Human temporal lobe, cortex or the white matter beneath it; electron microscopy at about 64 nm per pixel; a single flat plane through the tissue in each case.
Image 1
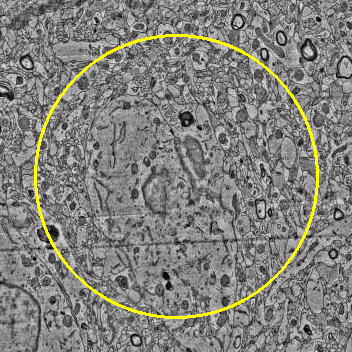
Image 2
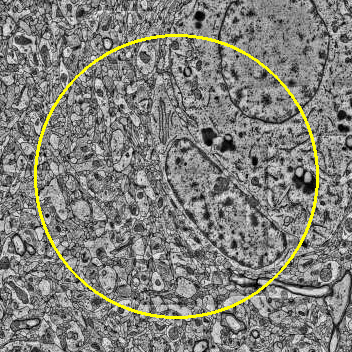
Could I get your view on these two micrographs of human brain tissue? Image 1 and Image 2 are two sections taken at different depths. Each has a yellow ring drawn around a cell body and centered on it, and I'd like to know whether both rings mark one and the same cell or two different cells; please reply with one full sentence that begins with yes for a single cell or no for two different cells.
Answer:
No, the two rings are drawn around two distinct cells.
